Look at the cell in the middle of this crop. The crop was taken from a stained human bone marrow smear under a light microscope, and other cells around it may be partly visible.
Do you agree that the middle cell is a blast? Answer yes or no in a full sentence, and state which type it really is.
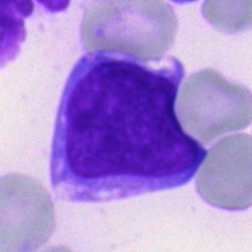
Yes, the centre of the crop holds a blast.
